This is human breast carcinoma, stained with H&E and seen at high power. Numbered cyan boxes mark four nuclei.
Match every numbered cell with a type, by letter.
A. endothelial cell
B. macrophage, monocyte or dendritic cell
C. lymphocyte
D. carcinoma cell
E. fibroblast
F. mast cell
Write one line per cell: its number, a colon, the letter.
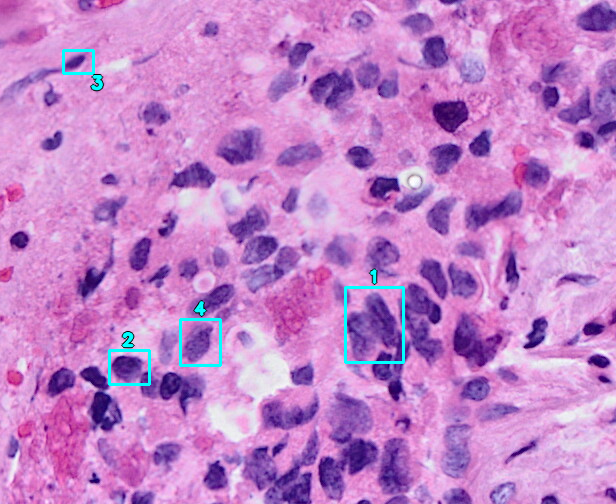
1: D
2: D
3: E
4: D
